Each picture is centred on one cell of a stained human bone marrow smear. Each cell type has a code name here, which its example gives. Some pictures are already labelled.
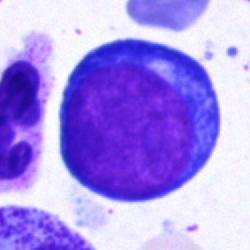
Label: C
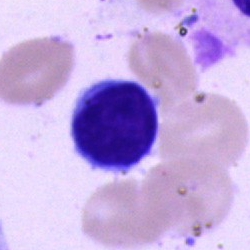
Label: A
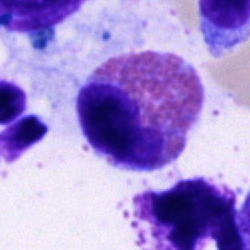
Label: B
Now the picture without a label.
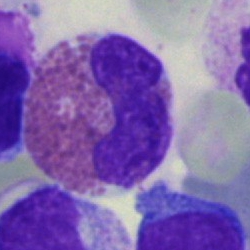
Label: B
